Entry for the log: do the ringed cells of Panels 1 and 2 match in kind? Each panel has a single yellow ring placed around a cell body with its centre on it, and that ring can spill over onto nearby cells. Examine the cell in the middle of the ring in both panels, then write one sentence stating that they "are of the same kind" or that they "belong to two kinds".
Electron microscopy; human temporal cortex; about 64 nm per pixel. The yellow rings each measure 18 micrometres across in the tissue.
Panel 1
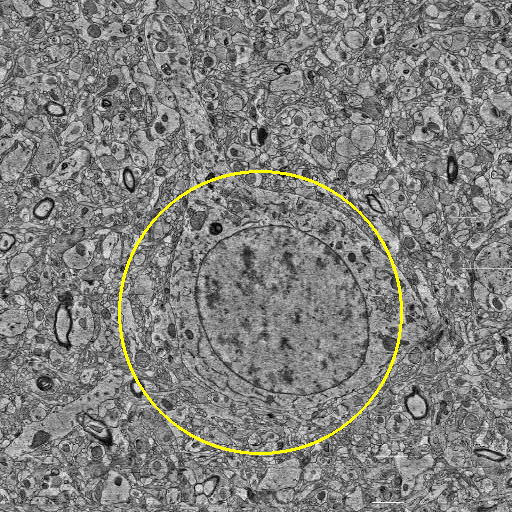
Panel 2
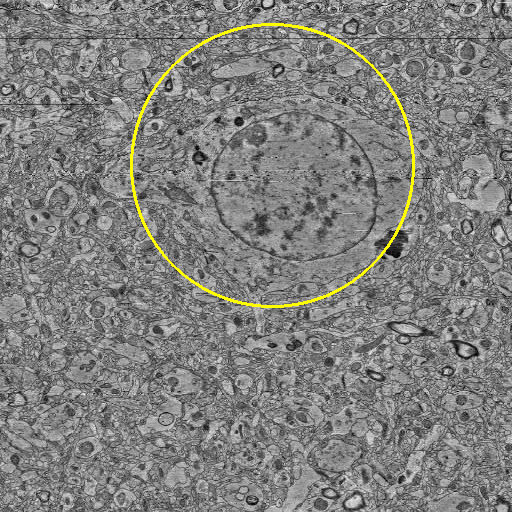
The centre cell of Panel 1's ring and that of Panel 2's ring are of the same kind.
